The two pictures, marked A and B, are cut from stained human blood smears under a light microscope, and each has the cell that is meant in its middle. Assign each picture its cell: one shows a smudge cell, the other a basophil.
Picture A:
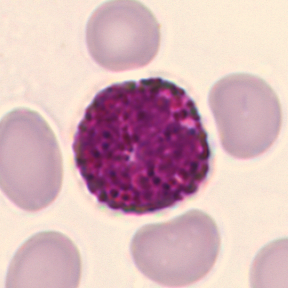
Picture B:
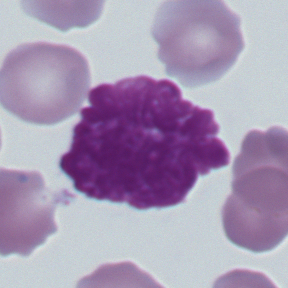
A: basophil
B: smudge cell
